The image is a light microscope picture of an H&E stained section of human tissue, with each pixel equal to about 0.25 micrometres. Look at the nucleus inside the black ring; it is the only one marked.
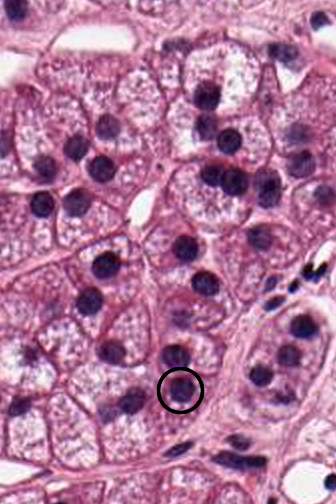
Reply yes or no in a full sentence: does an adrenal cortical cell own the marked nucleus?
Yes, it is the nucleus of an adrenal cortical cell that has been marked.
